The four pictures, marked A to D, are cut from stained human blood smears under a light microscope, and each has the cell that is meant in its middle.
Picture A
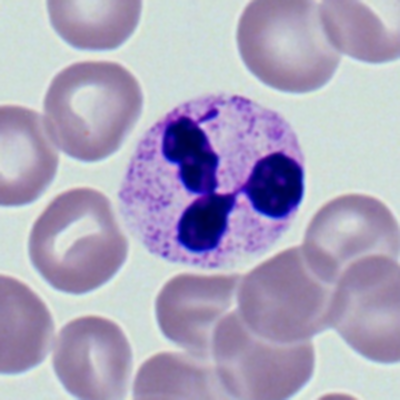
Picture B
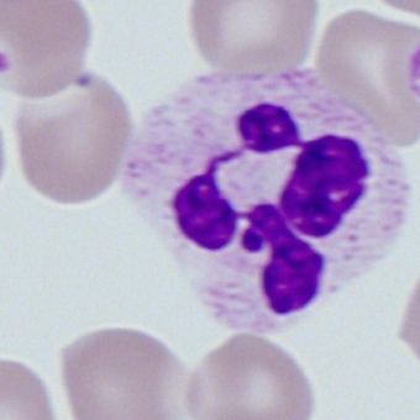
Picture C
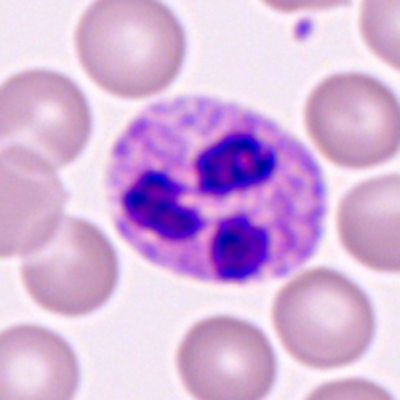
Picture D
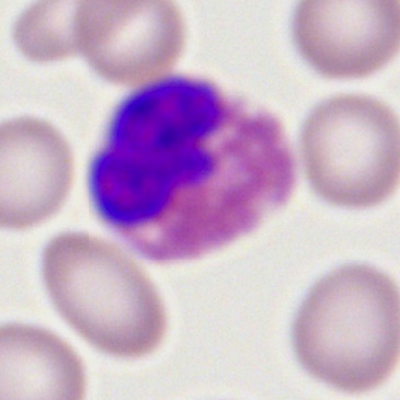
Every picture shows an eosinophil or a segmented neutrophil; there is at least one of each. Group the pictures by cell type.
A: segmented neutrophil
B: segmented neutrophil
C: segmented neutrophil
D: eosinophil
